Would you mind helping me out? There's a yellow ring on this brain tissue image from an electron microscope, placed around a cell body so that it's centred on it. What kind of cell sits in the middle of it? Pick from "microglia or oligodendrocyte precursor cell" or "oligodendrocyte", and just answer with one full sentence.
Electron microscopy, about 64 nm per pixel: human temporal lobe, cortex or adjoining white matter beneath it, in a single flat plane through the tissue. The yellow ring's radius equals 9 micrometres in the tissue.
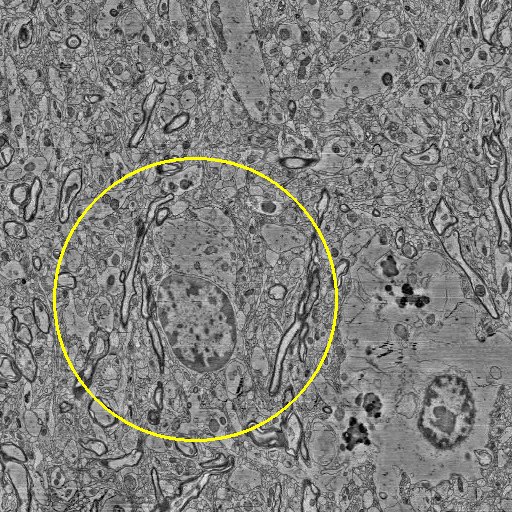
What sits in the middle of that yellow ring is a microglial cell or oligodendrocyte precursor cell, from your choices.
